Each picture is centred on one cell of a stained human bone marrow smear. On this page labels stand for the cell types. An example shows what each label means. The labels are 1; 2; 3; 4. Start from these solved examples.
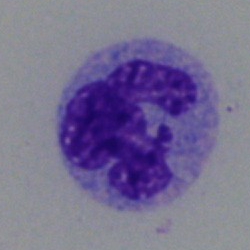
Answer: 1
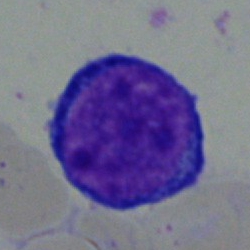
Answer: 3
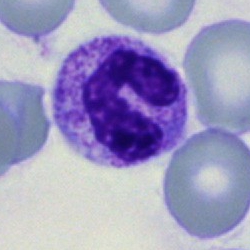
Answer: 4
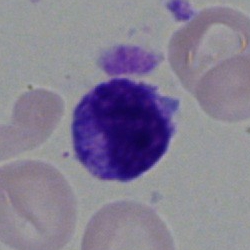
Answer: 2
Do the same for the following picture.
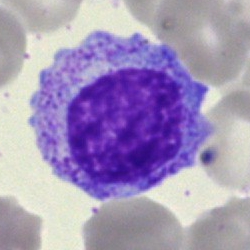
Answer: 2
